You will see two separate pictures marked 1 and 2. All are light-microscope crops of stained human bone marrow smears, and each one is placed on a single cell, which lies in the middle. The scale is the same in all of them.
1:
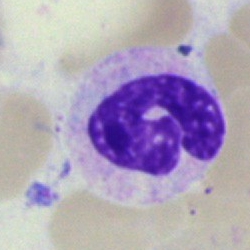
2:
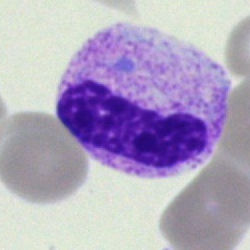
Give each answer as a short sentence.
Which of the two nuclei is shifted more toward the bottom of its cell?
The nucleus in crop 2 lies further toward the bottom of its cell.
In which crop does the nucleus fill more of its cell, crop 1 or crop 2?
It is the cell in crop 1 that is filled more by its nucleus.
